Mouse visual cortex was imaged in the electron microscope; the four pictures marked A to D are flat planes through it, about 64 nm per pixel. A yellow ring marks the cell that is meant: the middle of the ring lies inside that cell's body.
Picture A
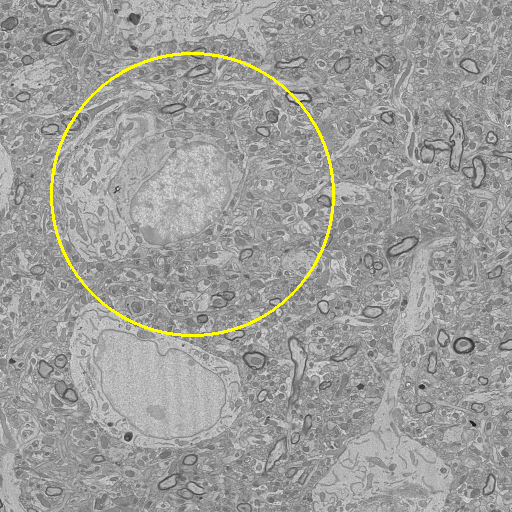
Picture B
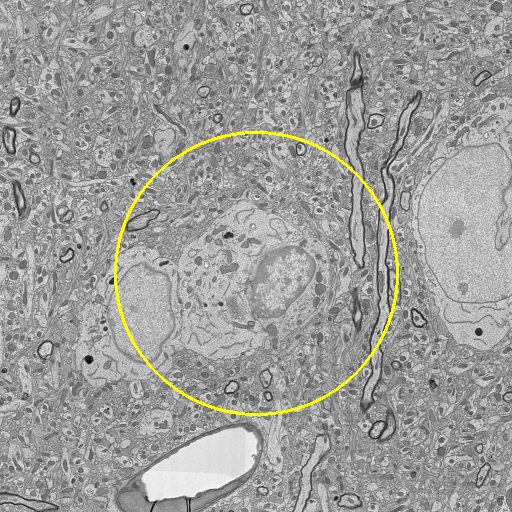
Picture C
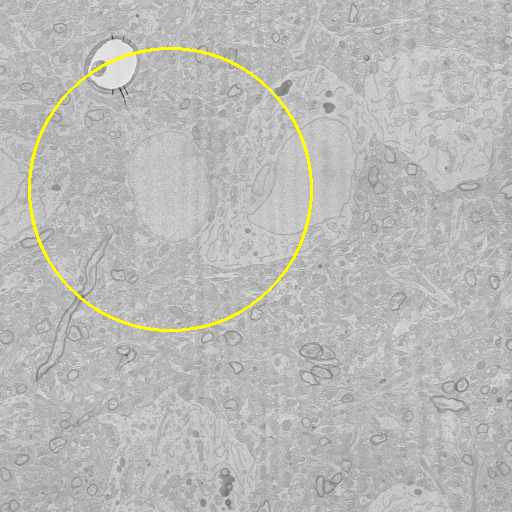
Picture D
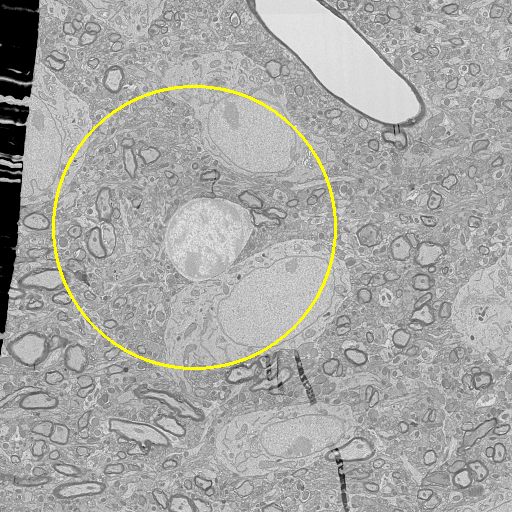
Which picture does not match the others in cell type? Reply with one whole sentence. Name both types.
Picture C differs, because its cell is an astrocyte and the rest are oligodendrocytes.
